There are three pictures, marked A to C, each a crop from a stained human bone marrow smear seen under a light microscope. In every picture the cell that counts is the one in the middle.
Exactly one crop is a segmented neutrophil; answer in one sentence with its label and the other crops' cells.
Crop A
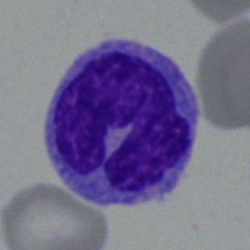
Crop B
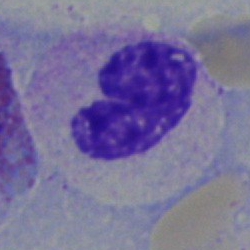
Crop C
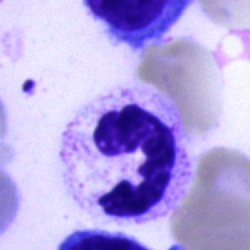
To sum up, crop C shows a segmented neutrophil, while crop A is a monocyte and crop B is a band neutrophil.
